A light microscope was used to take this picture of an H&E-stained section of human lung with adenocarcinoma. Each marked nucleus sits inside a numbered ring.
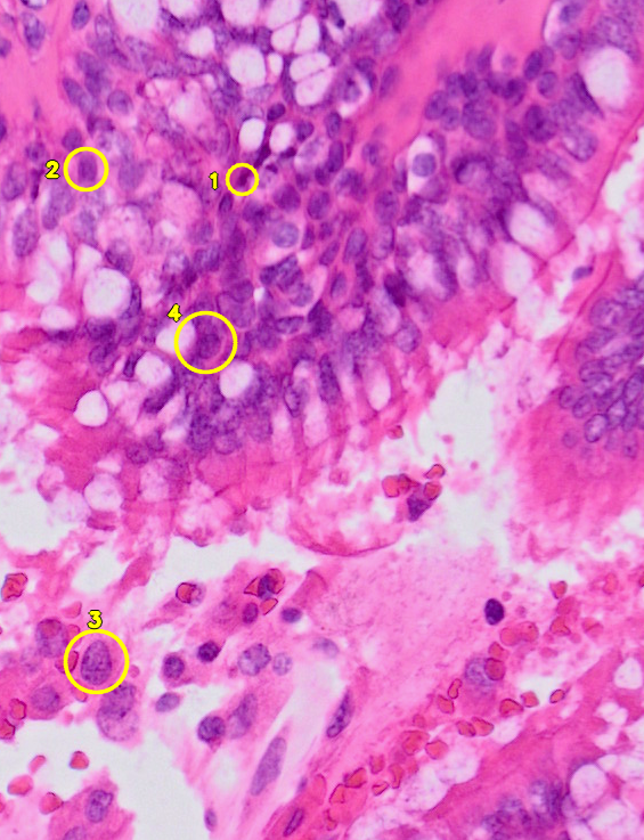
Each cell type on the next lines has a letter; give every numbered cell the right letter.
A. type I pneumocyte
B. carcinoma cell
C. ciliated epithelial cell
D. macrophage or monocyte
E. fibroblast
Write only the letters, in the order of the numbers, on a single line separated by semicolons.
C; C; D; C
